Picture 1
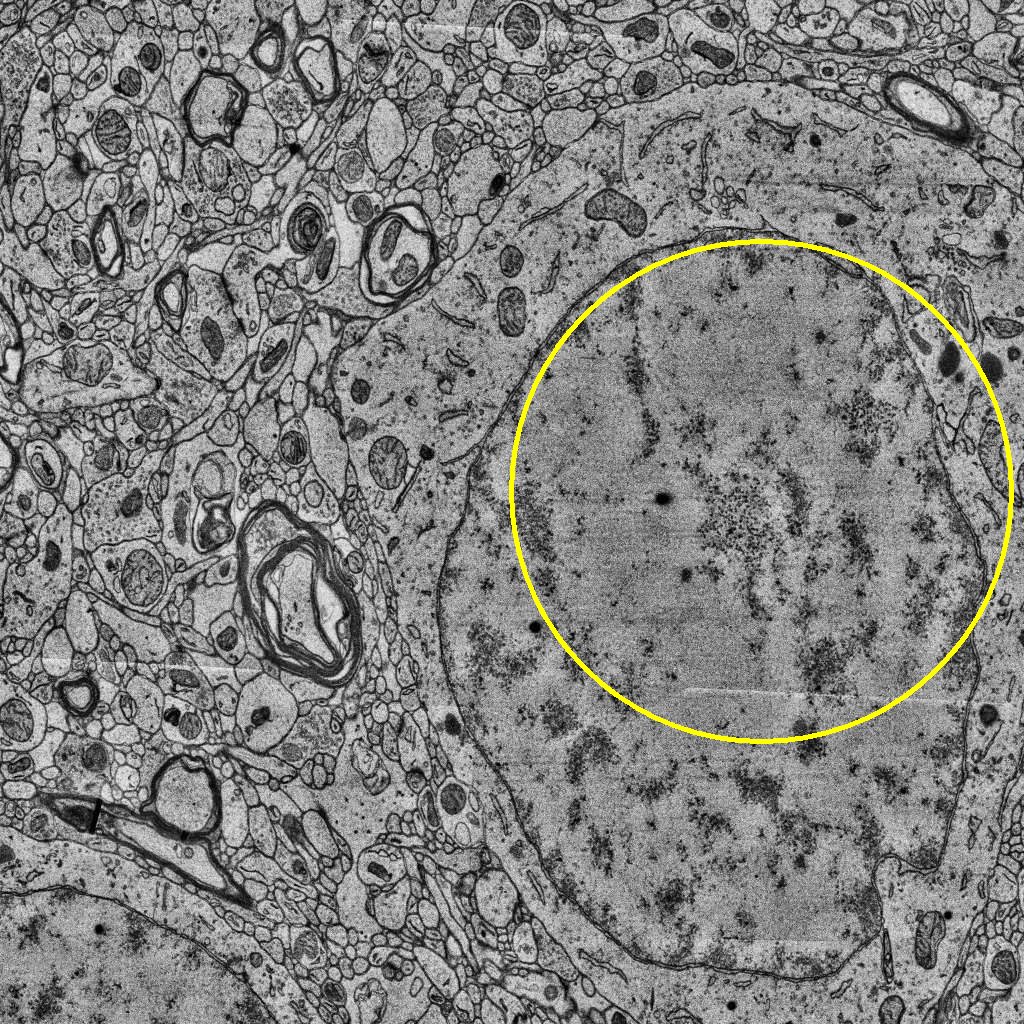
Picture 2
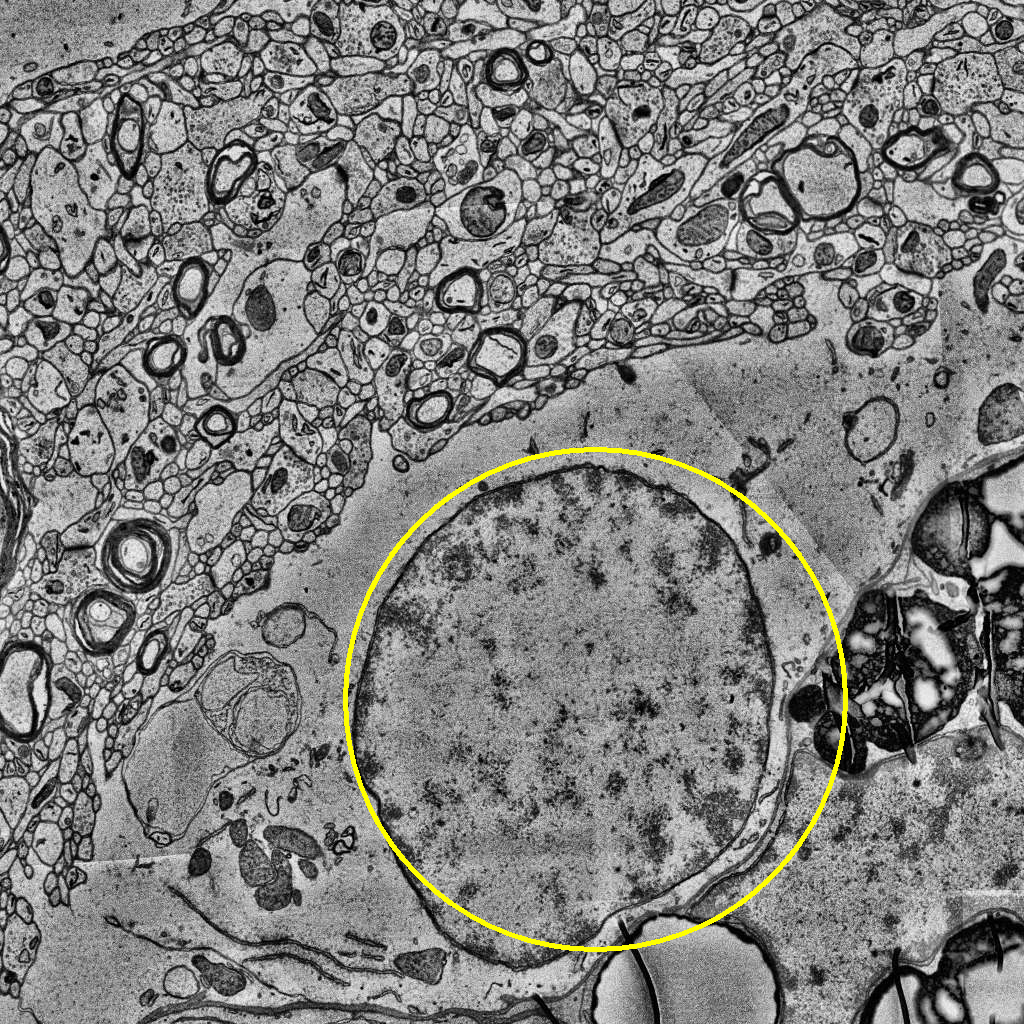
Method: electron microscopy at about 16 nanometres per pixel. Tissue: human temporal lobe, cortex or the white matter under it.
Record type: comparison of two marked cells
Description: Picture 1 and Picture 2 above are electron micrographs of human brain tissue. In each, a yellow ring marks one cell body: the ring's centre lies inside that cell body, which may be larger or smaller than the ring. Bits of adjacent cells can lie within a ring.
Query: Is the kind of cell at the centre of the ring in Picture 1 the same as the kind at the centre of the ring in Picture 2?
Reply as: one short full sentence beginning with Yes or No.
No, the two cells at the ring centres are of two separate kinds.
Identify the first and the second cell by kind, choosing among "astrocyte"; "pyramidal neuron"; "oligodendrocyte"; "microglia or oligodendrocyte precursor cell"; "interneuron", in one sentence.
The two differ: the first cell is a pyramidal neuron and the second is an astrocyte.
